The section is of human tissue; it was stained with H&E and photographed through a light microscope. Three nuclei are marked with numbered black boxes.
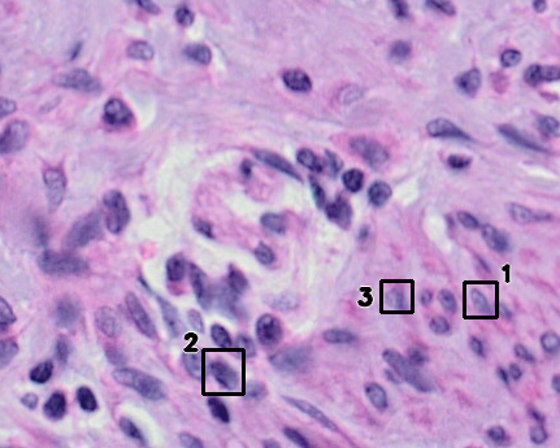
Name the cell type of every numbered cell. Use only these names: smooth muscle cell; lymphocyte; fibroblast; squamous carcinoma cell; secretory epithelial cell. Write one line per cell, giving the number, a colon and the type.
1: smooth muscle cell
2: lymphocyte
3: smooth muscle cell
